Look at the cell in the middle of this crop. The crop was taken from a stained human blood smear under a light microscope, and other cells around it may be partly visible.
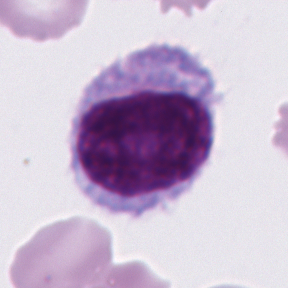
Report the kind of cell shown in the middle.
hairy cell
